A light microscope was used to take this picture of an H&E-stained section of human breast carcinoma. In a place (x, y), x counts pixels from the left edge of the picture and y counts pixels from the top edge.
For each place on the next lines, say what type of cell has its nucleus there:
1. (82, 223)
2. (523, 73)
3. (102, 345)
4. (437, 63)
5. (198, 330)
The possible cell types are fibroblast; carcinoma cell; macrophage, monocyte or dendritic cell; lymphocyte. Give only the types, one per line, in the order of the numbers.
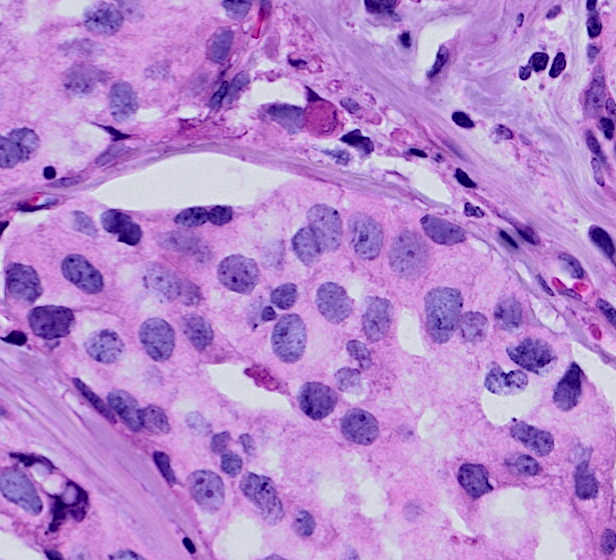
carcinoma cell
lymphocyte
carcinoma cell
fibroblast
carcinoma cell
